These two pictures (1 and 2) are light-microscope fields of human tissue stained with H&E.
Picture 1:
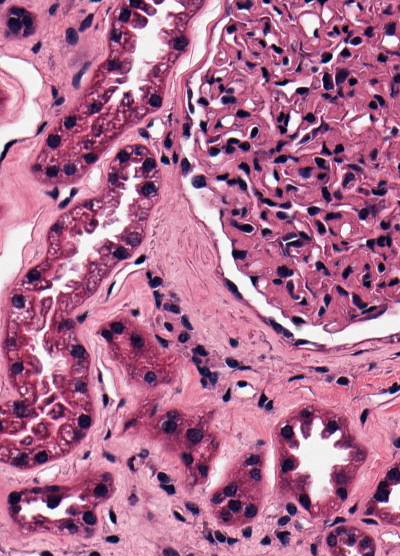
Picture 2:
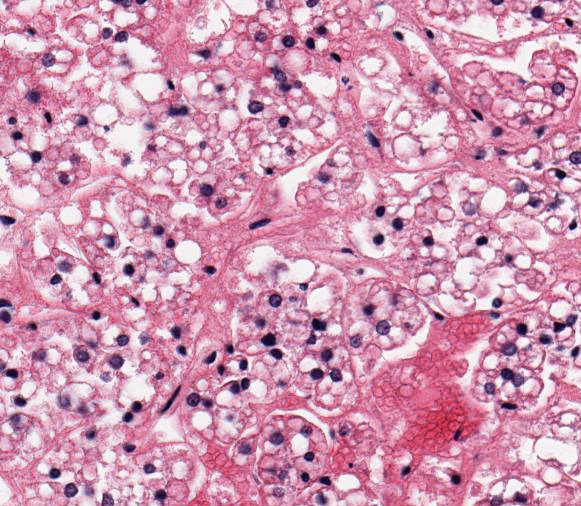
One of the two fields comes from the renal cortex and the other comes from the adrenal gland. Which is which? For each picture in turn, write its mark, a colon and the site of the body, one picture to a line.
1: renal cortex
2: adrenal gland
